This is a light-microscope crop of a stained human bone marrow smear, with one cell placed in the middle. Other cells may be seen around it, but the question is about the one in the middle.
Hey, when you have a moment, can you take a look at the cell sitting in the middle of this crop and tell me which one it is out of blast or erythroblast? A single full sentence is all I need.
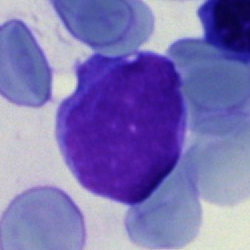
The target cell in the middle of the crop is a blast.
